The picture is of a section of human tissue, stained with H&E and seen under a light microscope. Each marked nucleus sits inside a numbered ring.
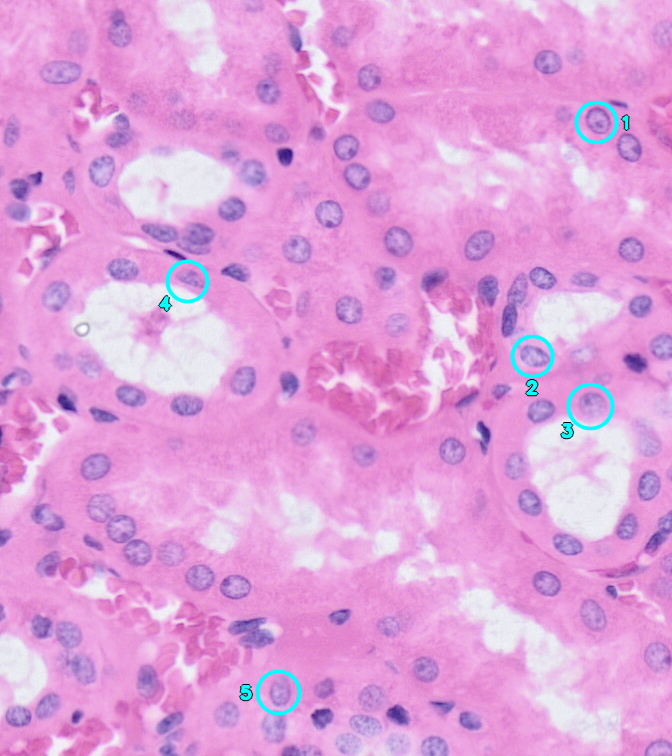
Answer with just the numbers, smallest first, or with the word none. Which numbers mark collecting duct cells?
2, 5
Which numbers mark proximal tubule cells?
1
